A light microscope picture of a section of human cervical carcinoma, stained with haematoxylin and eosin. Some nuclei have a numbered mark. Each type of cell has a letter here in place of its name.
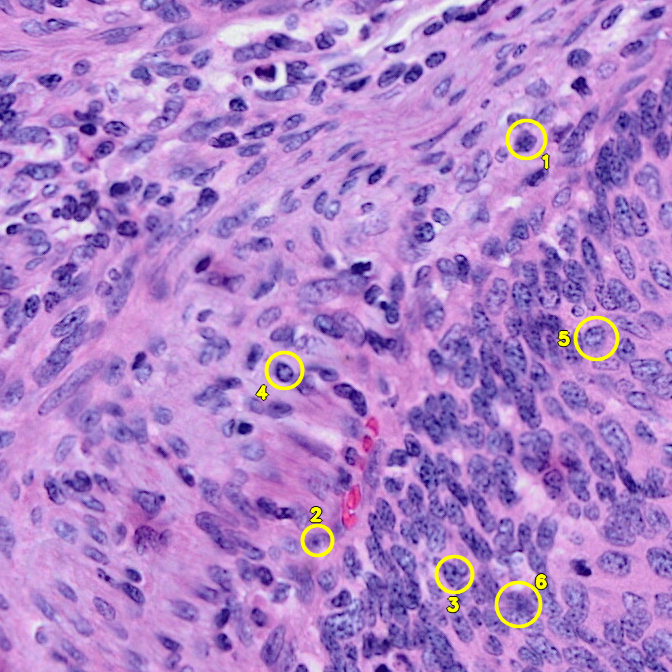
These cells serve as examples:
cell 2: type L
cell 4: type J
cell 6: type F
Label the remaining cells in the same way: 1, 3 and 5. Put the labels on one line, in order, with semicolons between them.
type J; type F; type F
